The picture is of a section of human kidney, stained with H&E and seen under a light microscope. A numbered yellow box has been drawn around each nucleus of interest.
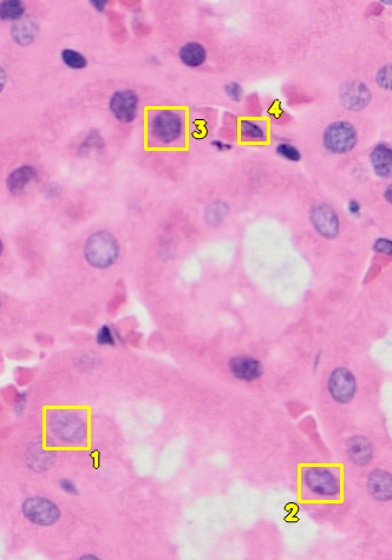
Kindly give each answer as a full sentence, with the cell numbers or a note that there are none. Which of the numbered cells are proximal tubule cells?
Here, the cells that carry numbers 1, 2 and 3 are proximal tubule cells.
